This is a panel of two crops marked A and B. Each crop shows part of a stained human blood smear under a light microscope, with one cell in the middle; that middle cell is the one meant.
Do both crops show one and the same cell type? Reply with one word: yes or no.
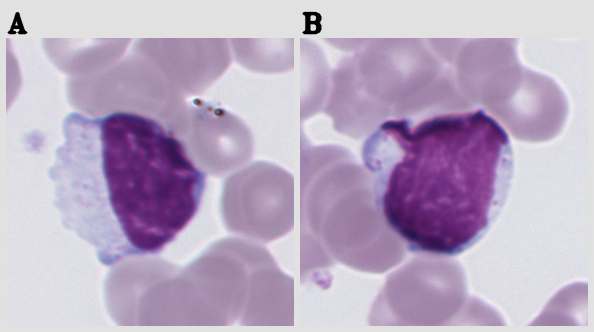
yes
